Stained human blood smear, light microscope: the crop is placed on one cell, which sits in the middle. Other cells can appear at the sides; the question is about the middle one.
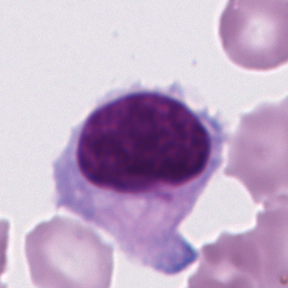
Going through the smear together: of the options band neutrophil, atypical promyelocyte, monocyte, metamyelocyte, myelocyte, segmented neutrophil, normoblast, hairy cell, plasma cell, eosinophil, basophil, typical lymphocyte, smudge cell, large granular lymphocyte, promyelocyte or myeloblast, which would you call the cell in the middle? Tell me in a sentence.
Present in the middle of the crop is a hairy cell.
